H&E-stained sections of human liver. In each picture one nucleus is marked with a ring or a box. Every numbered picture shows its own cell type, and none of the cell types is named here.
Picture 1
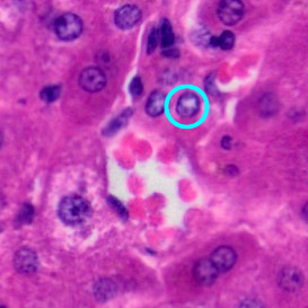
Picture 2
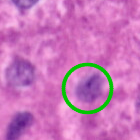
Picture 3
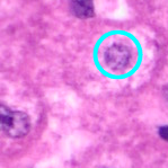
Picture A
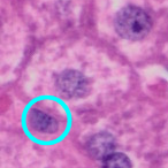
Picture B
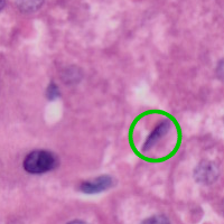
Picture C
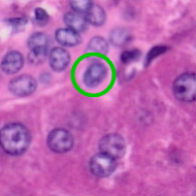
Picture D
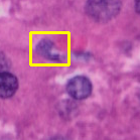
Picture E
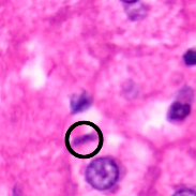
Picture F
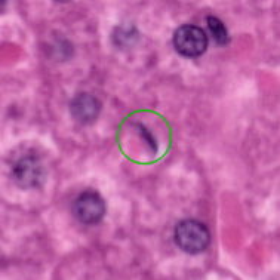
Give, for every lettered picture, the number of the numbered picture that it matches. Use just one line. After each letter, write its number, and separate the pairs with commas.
A 2, B 2, C 1, D 2, E 2, F 2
